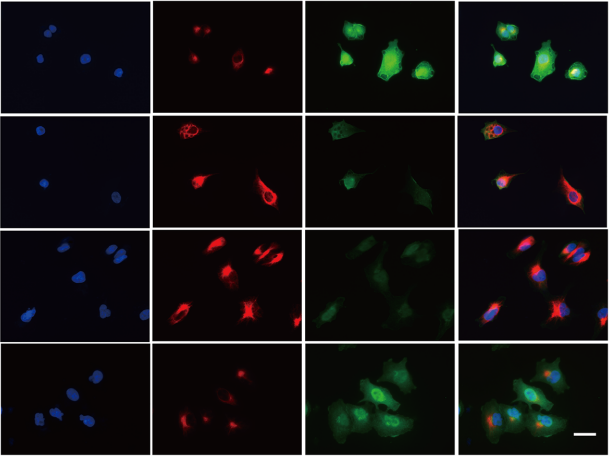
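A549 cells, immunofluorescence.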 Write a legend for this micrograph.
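This is a grid of fluorescence images of scattered cultured cells, each row showing the same field as separate blue, red and green channels and then a merged image. Each cell has a single round to oval blue nucleus. In the top and bottom rows, the cells are broad, flattened and polygonal, with strong green staining filling the cytoplasm and weaker red. In the two middle rows, many cells are elongated or spindle-shaped, with bright red filamentous cytoplasm around the nucleus and only faint green.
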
